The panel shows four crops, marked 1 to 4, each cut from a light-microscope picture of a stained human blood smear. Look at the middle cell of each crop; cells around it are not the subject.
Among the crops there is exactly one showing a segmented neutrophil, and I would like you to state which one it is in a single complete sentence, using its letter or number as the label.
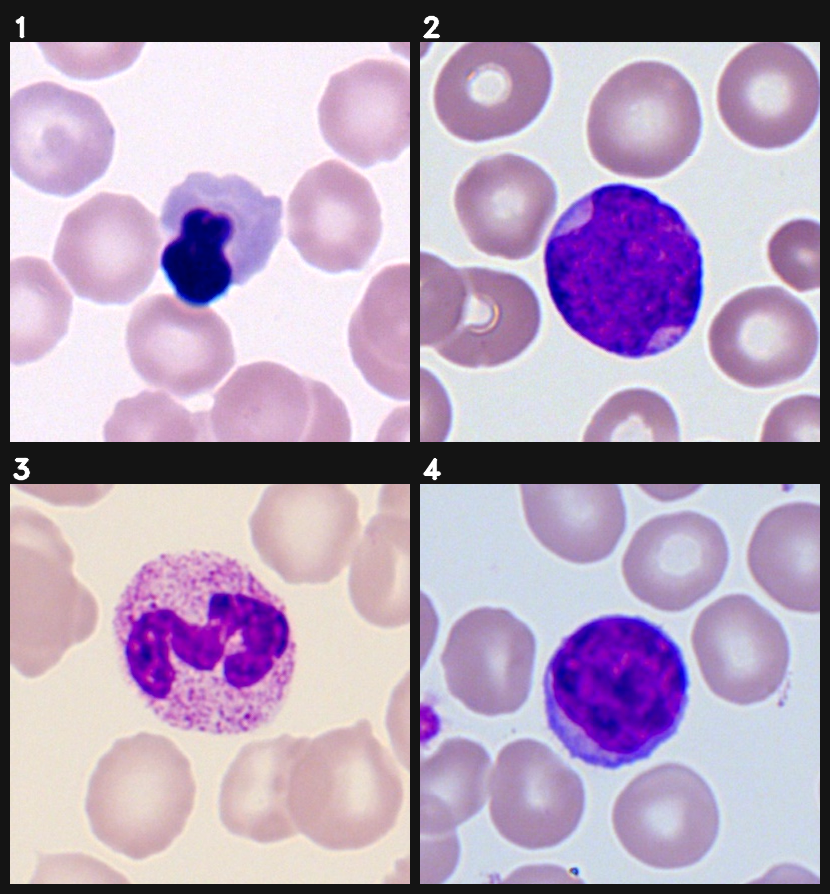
Here the crop that shows a segmented neutrophil is crop 3.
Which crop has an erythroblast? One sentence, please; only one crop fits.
In this series, an erythroblast is shown by crop 1.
